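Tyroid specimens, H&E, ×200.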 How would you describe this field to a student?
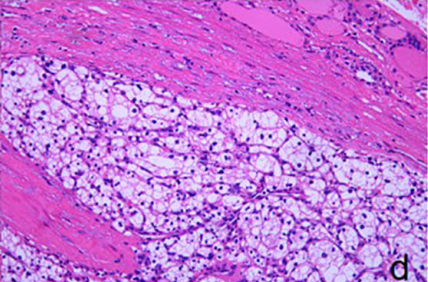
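This is a clear-cell tumour in thyroid tissue, with nests of tumour cells having translucent cytoplasm. The tumour cells have sharply outlined cell borders and clear, almost empty-looking cytoplasm, with small round dark nuclei of somewhat varying size. The nests are separated by delicate septa, and a broad band of pink fibrous tissue runs along the upper part of the field. Above this band lie small thyroid follicles filled with pink colloid.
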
